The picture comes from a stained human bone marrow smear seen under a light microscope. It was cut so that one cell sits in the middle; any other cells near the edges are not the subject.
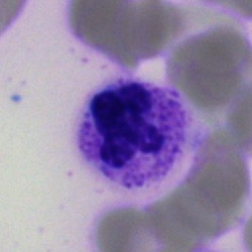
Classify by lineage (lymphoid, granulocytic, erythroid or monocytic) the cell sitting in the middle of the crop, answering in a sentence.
The cell at the middle of this crop is assigned to the granulocytic lineage.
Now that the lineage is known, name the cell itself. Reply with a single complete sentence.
By classification, the middle cell of this crop is a segmented neutrophil.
